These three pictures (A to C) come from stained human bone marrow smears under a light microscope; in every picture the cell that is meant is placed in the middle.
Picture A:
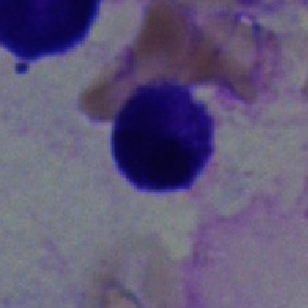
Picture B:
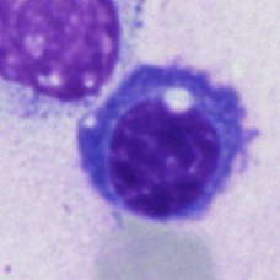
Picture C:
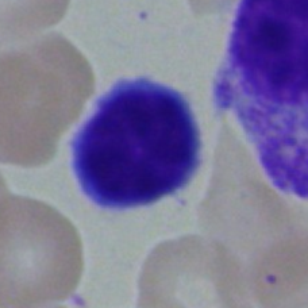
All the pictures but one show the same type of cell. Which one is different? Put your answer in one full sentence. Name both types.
The others show lymphocytes, but picture B shows a plasma cell.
